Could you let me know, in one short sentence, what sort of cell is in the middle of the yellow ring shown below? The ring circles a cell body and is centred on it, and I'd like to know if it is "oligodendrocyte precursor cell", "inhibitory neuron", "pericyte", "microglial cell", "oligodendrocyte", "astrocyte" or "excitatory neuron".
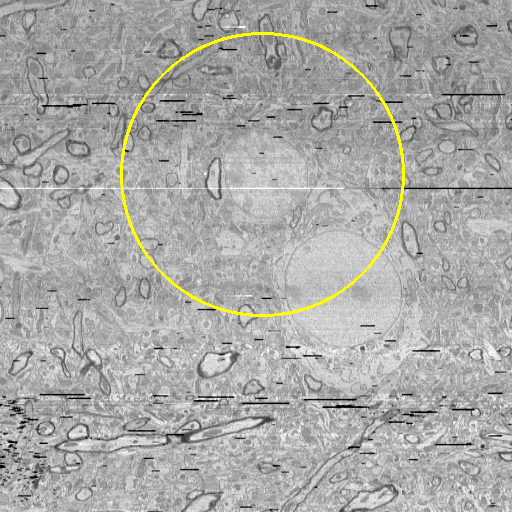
The ring circles the cell body of an oligodendrocyte.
